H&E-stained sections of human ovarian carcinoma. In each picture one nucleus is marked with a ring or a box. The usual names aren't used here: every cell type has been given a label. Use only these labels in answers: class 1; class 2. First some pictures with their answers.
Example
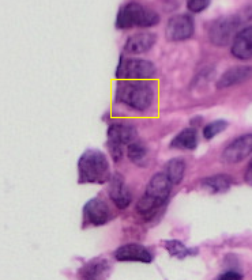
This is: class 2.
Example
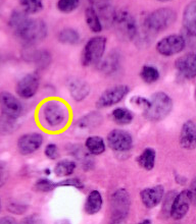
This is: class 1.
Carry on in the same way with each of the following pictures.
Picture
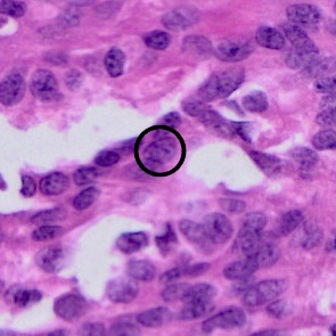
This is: class 2.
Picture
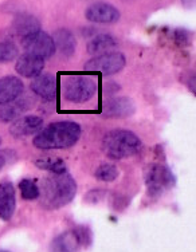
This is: class 2.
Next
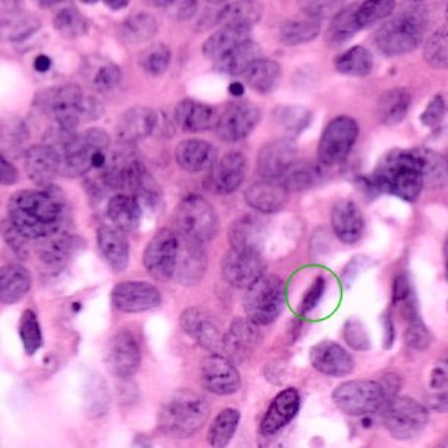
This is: class 2.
